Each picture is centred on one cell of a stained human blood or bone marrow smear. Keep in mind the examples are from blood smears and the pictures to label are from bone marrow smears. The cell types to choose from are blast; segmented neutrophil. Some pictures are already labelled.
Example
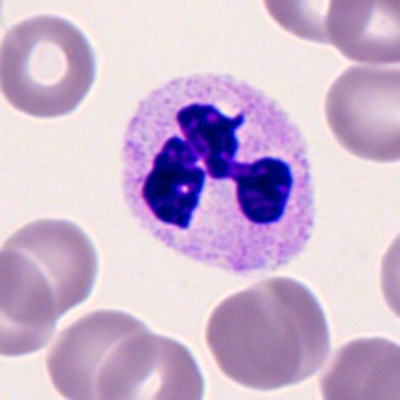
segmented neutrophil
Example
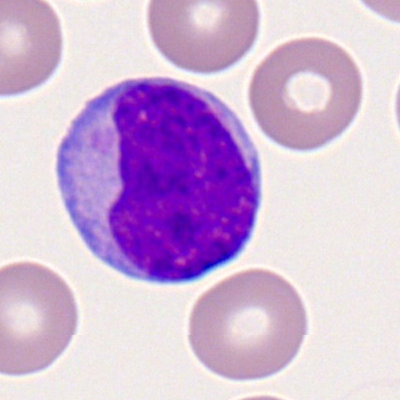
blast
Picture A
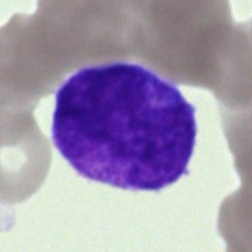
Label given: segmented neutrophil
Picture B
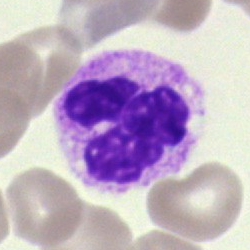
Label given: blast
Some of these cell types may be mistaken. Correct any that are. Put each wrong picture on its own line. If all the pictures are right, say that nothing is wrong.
A is labelled segmented neutrophil; correct label: blast
B is labelled blast; correct label: segmented neutrophil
